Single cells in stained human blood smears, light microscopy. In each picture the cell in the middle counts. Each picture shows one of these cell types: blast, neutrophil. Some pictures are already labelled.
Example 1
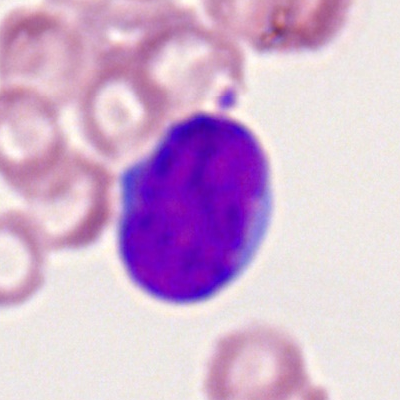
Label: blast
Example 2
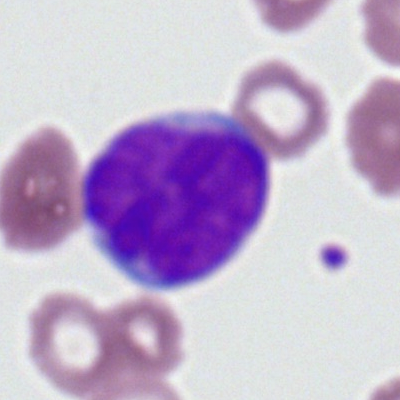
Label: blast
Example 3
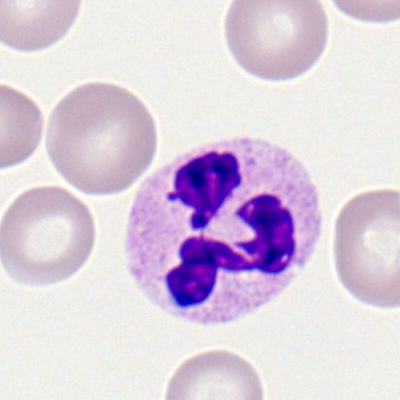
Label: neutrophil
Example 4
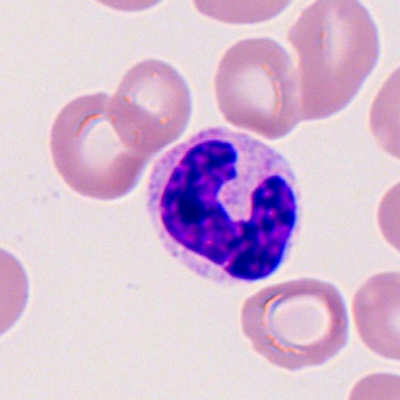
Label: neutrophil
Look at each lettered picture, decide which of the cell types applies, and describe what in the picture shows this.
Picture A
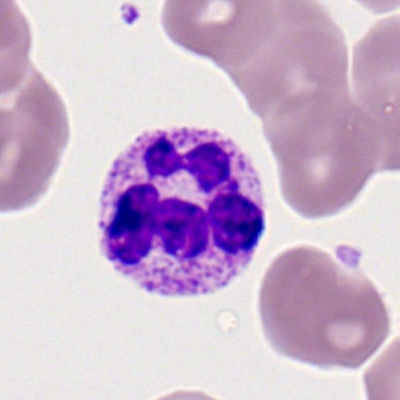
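neutrophil. Evidence: The nucleus is divided into more than three separate lobes.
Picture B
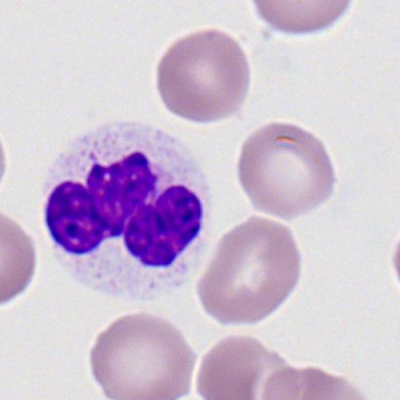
neutrophil. Evidence: There is plenty of pale pinkish-lilac cytoplasm around the nucleus.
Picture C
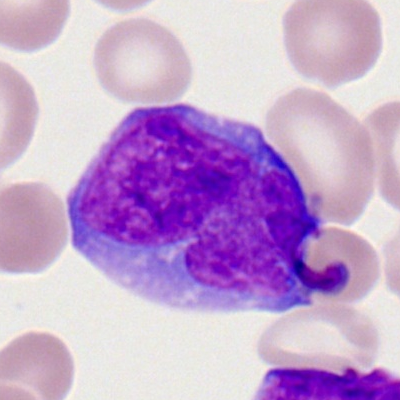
blast. Evidence: The nucleus fills most of the cell.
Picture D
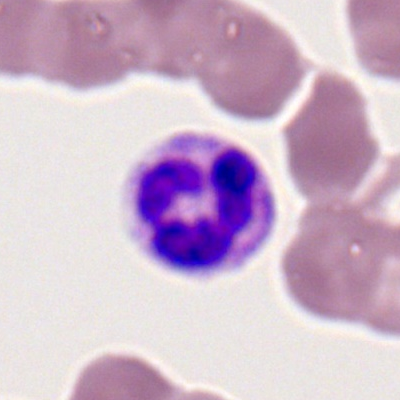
neutrophil. Evidence: The nucleus is divided into several connected lobes.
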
